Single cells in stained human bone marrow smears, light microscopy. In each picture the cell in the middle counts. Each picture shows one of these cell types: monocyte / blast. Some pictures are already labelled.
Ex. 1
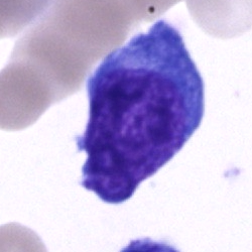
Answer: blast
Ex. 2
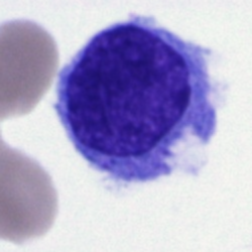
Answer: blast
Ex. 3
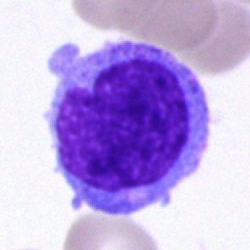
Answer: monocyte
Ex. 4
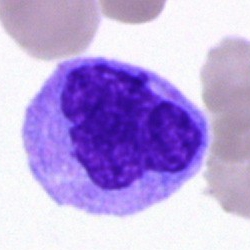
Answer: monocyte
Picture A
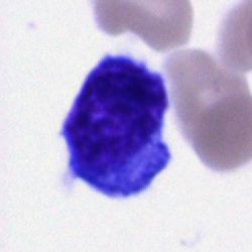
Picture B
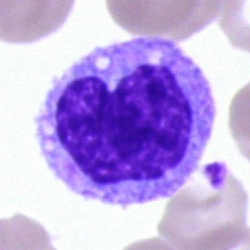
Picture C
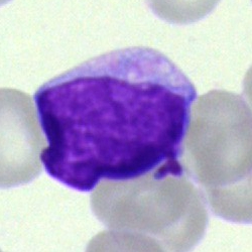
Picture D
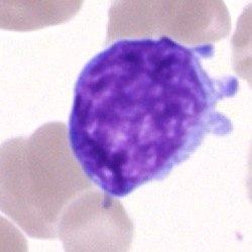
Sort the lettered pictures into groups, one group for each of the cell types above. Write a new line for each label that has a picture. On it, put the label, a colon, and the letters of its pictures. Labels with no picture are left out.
monocyte: B
blast: A, C, D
